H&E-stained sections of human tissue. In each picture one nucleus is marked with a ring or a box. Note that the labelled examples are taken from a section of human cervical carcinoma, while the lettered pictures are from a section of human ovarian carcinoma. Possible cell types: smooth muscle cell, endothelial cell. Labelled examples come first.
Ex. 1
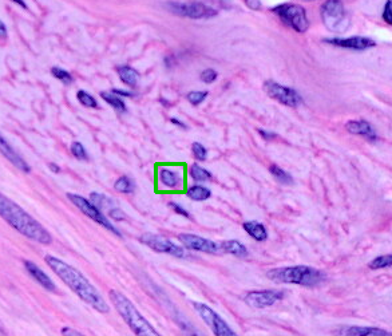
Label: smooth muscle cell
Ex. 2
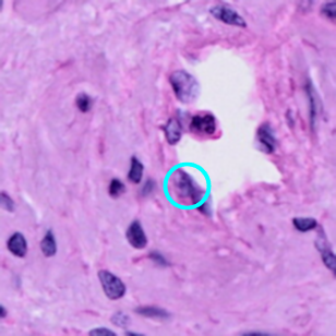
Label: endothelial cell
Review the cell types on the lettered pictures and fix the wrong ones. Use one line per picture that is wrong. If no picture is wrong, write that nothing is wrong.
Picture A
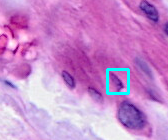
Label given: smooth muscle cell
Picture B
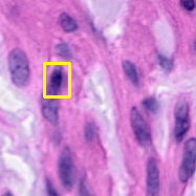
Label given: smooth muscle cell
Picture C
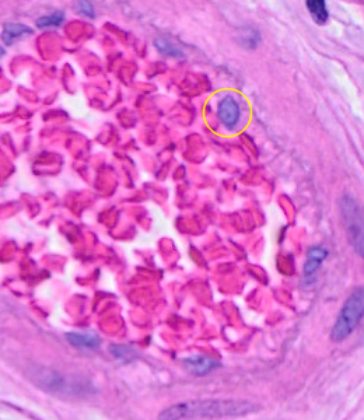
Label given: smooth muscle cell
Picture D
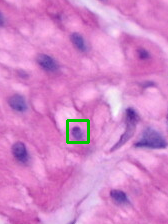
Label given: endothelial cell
C should be endothelial cell, not smooth muscle cell
D should be smooth muscle cell, not endothelial cell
